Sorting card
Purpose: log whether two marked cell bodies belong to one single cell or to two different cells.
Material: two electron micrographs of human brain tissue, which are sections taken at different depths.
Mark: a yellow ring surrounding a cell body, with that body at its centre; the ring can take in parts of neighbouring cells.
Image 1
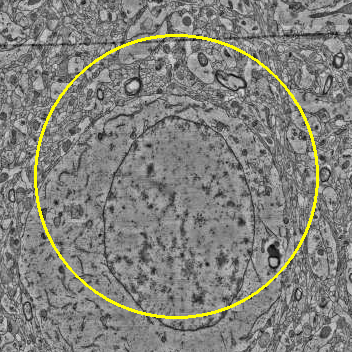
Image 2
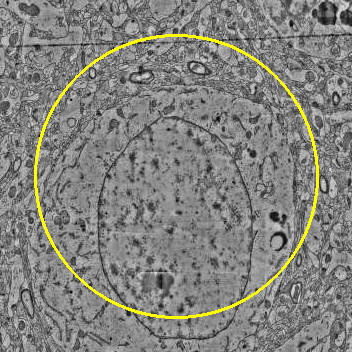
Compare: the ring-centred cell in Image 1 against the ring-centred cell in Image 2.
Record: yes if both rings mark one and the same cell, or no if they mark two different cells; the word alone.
yes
